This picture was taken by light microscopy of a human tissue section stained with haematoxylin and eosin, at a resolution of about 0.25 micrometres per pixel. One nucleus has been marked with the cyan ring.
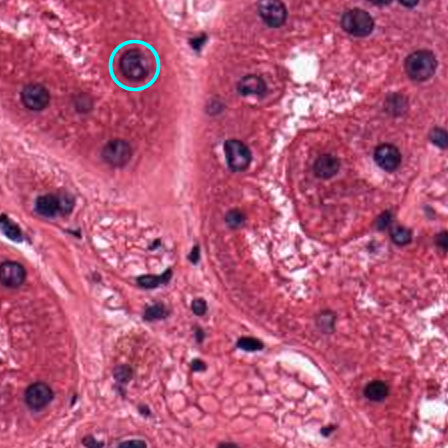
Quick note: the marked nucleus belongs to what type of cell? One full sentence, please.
The nucleus that has been marked belongs to a proximal tubule cell.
